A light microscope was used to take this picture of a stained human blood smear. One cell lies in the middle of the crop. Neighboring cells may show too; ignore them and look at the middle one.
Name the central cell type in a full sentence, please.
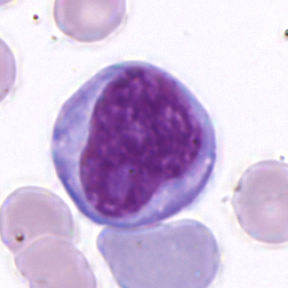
The cell sitting right in the middle is a plasma cell.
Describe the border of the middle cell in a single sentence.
Smooth all around, the outline has no projections to report.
